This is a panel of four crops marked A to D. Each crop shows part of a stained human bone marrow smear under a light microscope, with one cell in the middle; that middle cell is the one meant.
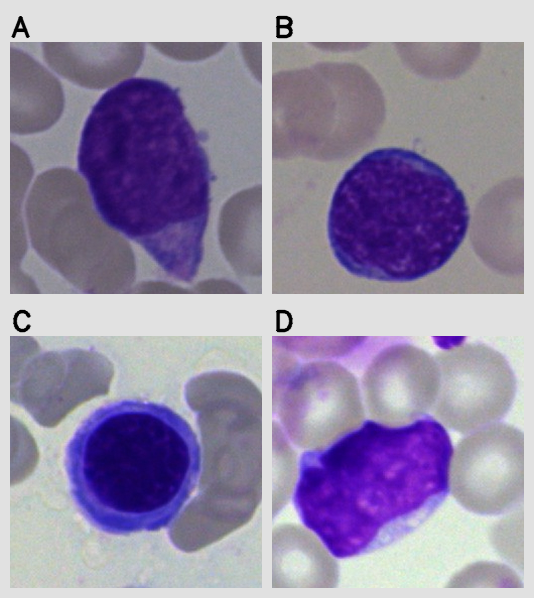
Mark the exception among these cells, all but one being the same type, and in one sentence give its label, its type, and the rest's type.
Crop C differs from the others in showing an erythroblast; the rest all show blasts.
